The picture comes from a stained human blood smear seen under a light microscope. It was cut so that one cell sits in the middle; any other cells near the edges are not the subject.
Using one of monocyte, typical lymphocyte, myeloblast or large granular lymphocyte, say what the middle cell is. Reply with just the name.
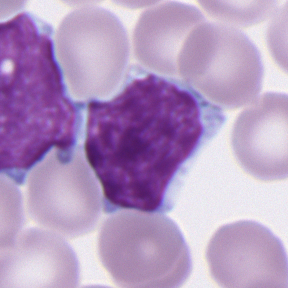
typical lymphocyte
